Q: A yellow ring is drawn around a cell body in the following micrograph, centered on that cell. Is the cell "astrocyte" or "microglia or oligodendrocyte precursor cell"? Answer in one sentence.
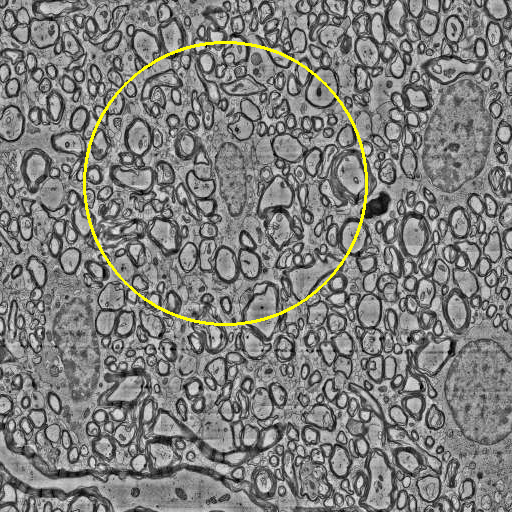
The cell in the center of the ring is an astrocyte.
